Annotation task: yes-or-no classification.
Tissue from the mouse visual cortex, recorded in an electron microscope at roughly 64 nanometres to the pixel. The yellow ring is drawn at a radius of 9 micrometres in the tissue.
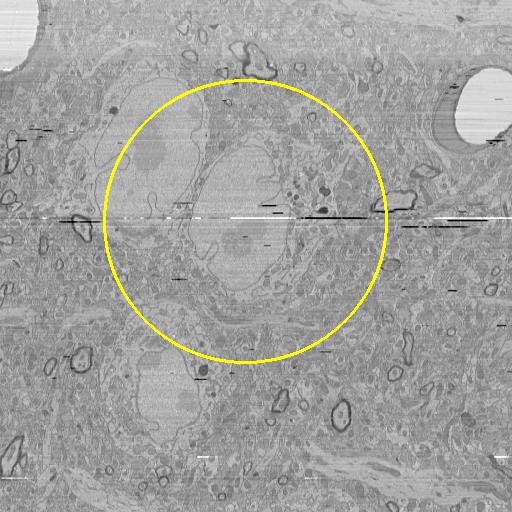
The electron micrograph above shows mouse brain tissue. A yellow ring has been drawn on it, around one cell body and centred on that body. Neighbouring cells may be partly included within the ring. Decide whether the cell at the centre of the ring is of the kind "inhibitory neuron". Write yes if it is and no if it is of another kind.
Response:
yes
